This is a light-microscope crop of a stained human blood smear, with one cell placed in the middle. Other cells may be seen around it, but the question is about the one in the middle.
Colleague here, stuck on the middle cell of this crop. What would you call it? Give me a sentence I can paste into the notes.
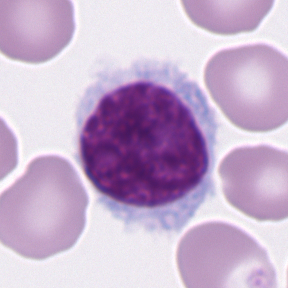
The cell in the exact centre of the crop is a hairy cell.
